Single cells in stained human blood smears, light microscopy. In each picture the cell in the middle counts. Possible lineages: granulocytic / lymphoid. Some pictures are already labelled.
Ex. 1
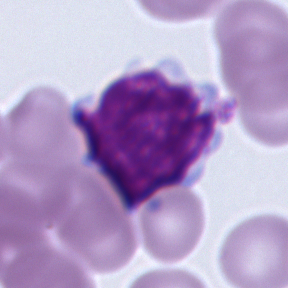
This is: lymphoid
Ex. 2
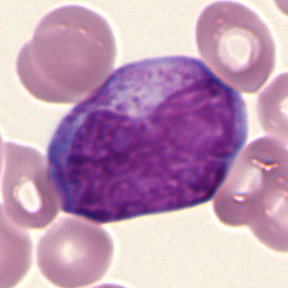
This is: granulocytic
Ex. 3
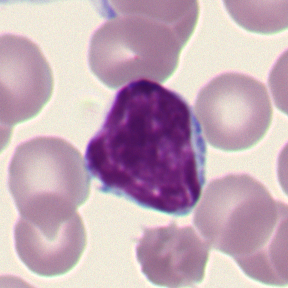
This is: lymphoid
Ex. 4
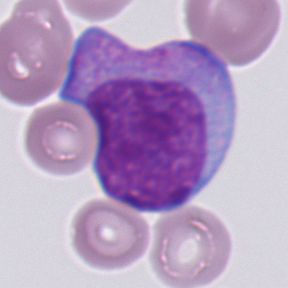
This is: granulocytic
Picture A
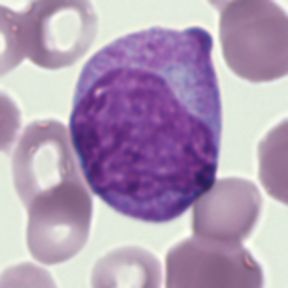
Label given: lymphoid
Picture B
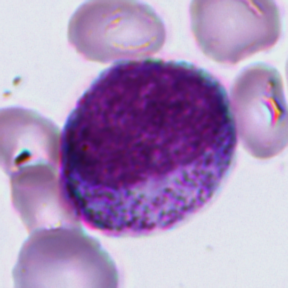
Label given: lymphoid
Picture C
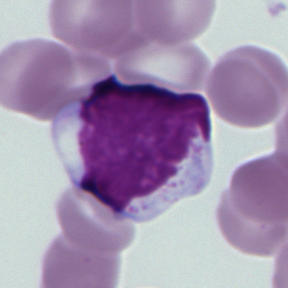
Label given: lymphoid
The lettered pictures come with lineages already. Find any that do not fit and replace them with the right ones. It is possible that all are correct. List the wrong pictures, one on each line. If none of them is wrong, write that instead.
A: change lymphoid to granulocytic
B: change lymphoid to granulocytic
